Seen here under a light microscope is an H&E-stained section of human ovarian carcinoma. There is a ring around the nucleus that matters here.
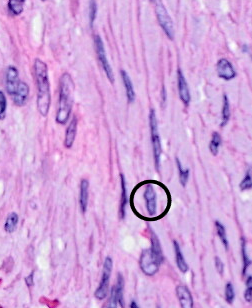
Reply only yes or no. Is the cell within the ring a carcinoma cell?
no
